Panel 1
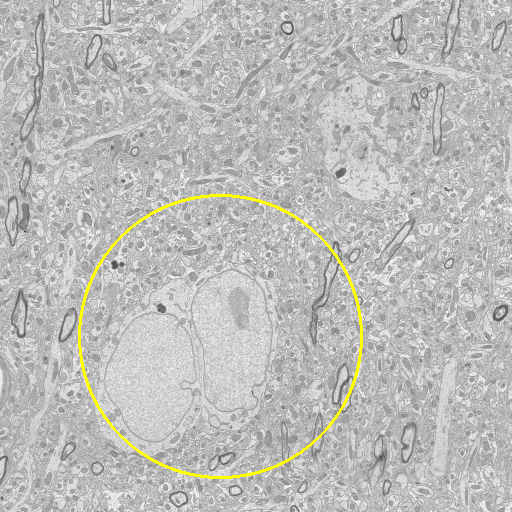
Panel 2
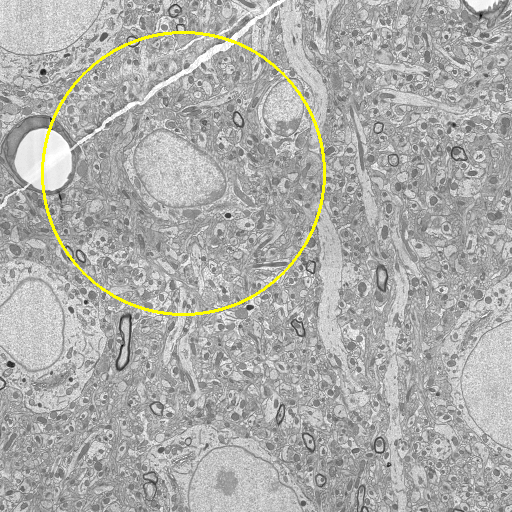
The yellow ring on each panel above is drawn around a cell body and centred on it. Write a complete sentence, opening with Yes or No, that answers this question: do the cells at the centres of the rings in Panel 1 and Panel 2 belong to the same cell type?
No, the two cells belong to two cell types.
